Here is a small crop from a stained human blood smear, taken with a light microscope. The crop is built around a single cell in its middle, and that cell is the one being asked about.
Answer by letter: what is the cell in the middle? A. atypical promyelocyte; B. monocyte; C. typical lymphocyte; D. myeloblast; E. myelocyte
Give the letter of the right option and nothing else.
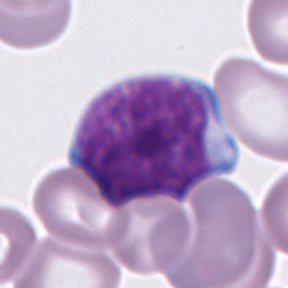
D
